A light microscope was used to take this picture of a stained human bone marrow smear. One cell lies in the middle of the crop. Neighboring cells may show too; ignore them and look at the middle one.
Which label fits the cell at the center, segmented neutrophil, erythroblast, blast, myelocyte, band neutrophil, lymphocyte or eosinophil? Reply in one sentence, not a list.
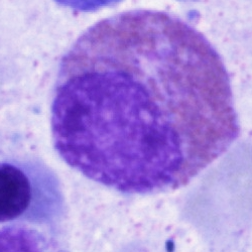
The cell in the middle of the field of view is an eosinophil.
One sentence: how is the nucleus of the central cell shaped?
The nuclear material is gathered into one compact round, oval or kidney-shaped mass.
